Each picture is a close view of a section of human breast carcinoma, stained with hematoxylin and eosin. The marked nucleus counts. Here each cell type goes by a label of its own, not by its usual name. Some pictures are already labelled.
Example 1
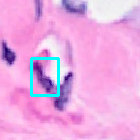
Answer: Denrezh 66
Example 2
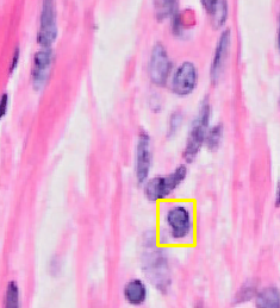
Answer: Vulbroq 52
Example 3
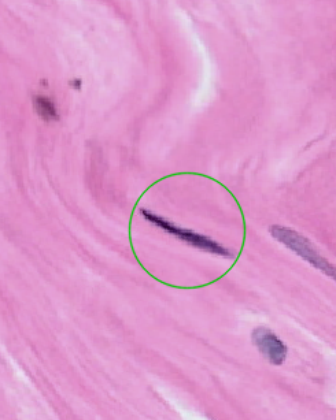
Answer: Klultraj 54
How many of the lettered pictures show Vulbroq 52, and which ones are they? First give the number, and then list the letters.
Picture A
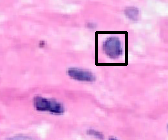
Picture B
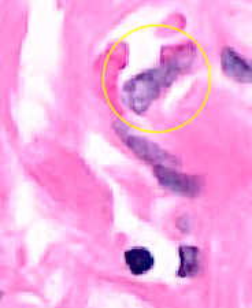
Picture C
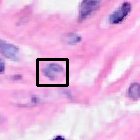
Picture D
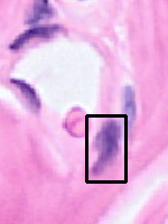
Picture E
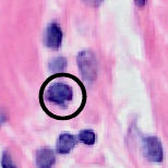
2, namely A, E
